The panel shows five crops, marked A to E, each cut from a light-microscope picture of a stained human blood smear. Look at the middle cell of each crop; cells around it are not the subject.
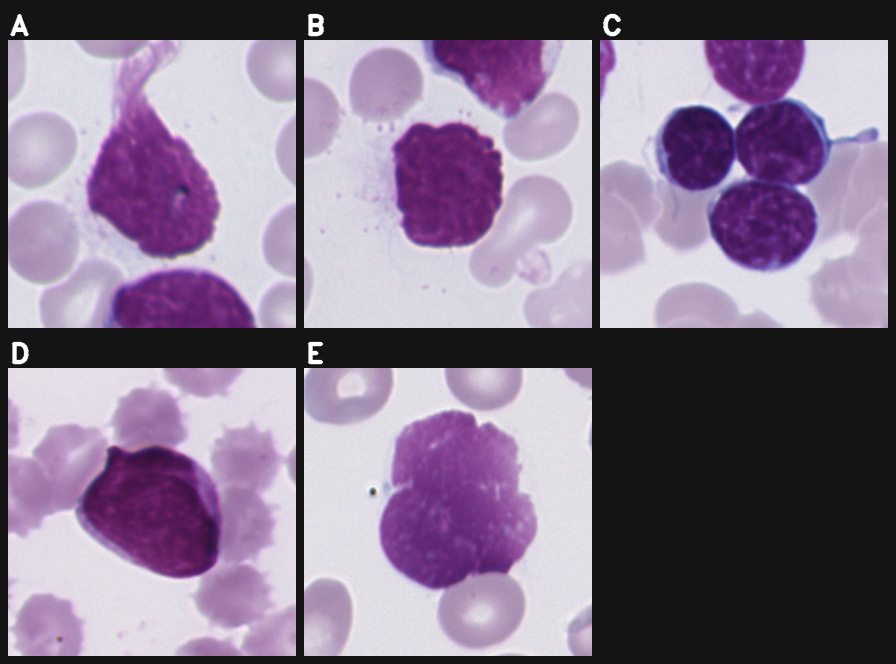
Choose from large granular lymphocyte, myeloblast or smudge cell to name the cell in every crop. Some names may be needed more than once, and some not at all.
A: smudge cell
B: smudge cell
C: myeloblast
D: myeloblast
E: smudge cell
